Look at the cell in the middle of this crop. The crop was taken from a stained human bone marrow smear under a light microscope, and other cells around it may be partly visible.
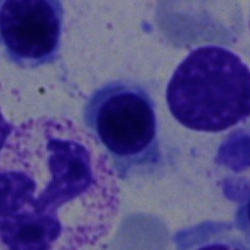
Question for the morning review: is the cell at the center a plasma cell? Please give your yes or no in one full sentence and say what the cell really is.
No, the central cell isn't a plasma cell, but an erythroblast.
